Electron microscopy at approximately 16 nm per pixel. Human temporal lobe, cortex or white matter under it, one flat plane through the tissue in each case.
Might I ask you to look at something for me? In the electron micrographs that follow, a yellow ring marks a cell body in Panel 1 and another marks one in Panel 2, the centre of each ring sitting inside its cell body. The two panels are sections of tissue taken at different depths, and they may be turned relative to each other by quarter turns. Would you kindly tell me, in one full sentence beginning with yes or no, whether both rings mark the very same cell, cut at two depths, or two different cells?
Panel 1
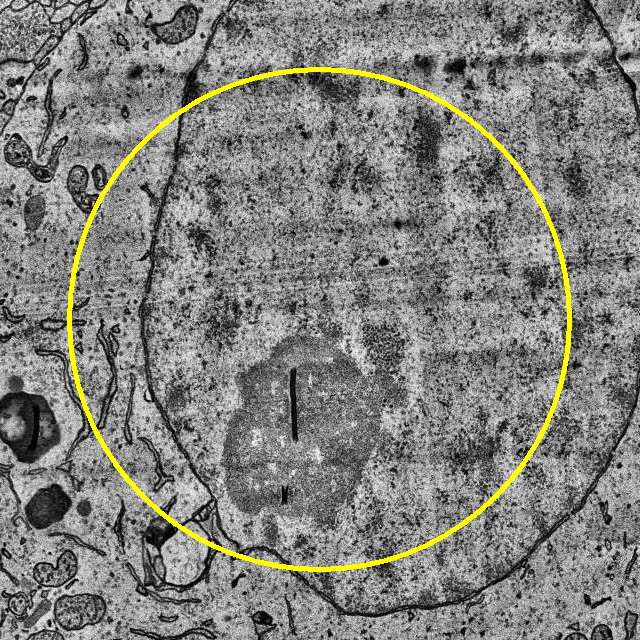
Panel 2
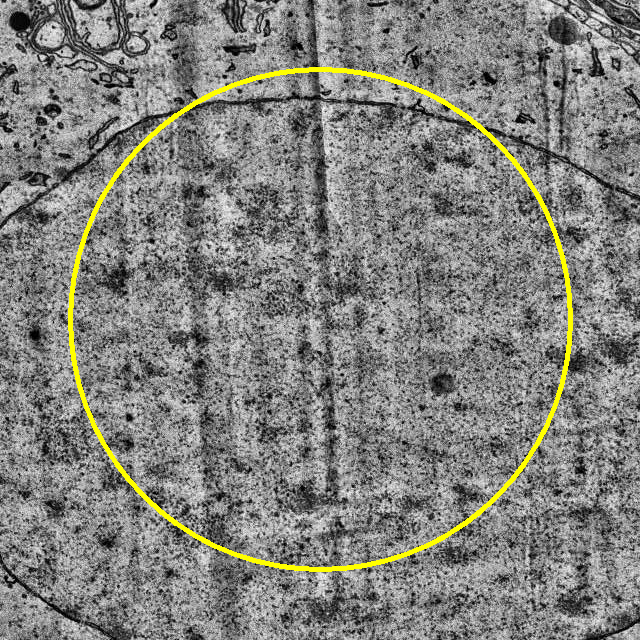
Yes, one cell is ringed in yellow twice over.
